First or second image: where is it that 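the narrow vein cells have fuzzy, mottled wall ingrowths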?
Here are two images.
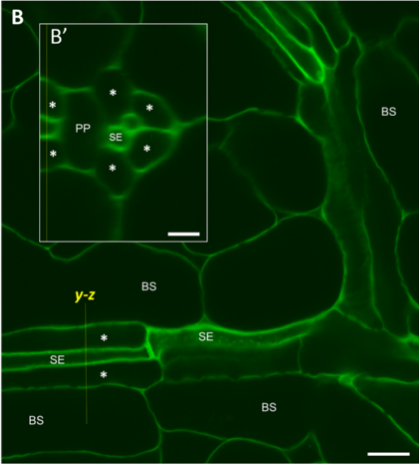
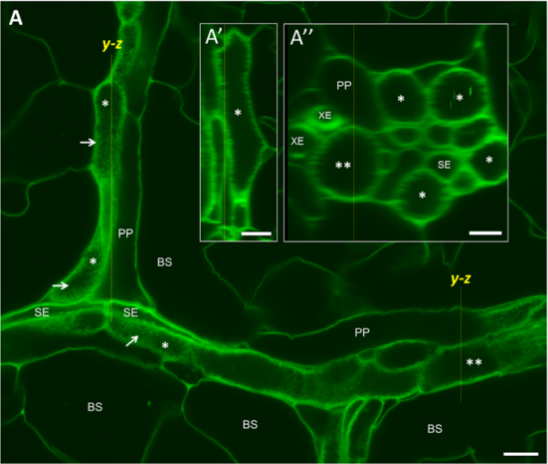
The second image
